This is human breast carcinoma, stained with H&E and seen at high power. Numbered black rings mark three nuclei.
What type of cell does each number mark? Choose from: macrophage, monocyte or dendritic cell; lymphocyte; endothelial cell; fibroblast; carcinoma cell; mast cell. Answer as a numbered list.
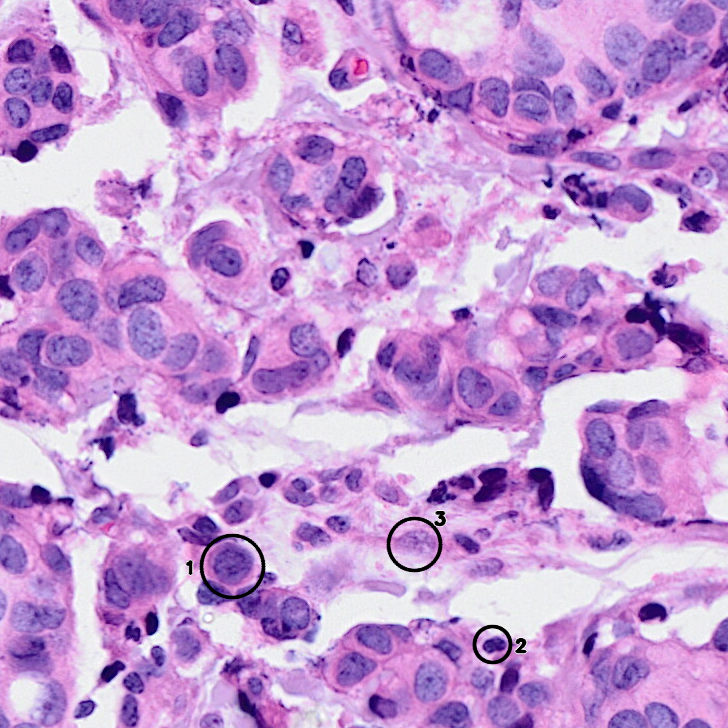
1. carcinoma cell
2. lymphocyte
3. fibroblast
